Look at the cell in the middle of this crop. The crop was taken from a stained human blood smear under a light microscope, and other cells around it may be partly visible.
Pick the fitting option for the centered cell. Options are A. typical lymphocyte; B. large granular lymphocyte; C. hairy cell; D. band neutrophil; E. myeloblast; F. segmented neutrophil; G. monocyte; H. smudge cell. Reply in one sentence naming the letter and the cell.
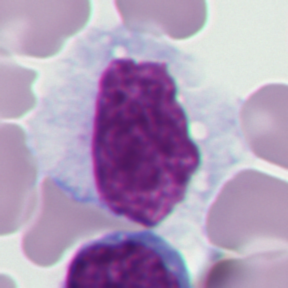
The cell right in the middle is a hairy cell, so option C is the one.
